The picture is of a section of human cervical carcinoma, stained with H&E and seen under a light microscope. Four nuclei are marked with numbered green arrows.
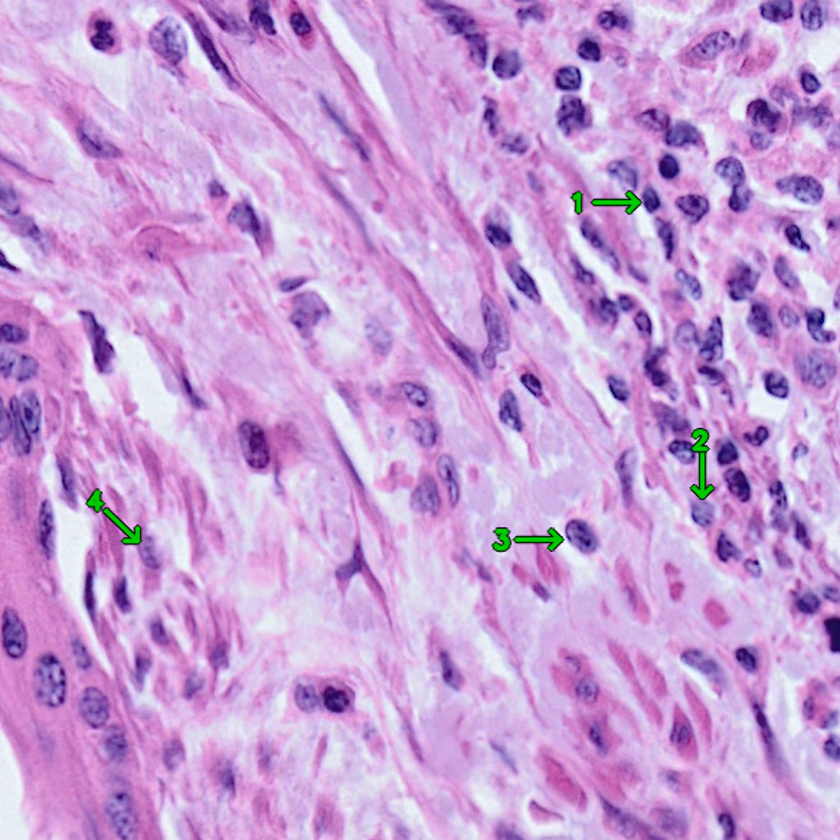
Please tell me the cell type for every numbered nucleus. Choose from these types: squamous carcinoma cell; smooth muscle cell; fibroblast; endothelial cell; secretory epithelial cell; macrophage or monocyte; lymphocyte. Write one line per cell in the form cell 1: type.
cell 1: lymphocyte
cell 2: lymphocyte
cell 3: lymphocyte
cell 4: fibroblast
